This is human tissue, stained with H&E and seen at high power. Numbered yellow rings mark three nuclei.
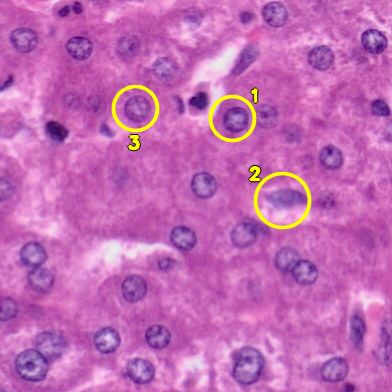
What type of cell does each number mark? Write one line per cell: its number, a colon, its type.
1: hepatocyte
2: Kupffer cell
3: hepatocyte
